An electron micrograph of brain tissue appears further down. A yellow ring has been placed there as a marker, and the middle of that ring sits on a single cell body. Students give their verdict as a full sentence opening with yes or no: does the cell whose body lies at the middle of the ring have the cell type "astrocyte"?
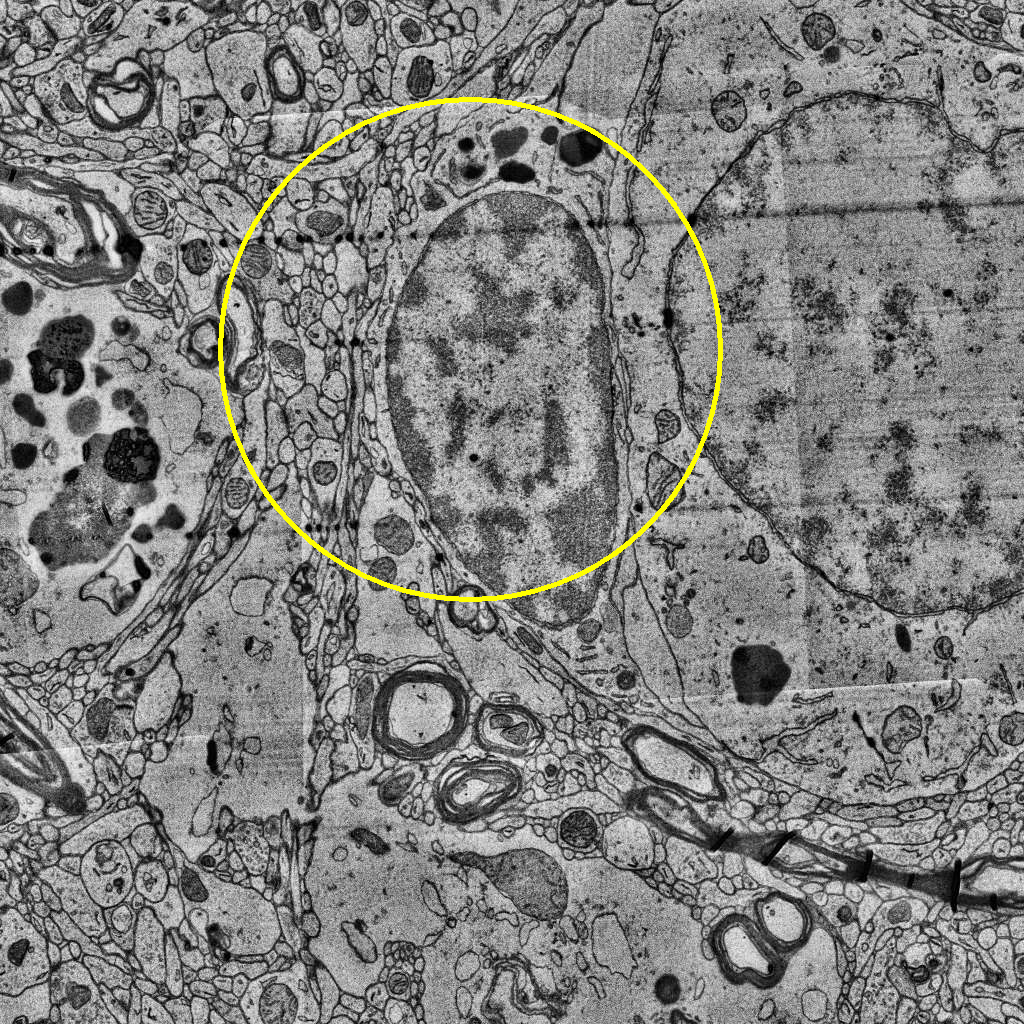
No, in this picture the cell whose body holds the ring's middle has a different cell type.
